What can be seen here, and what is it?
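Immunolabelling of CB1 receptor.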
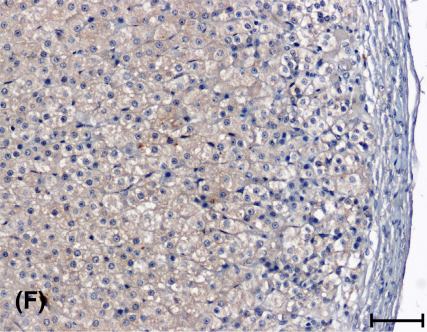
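Adrenal cortex with a wavy, layered fibrous capsule along the right edge. Beneath it lie large polygonal cells with pale, foamy or vacuolated cytoplasm and central round nuclei. A faint diffuse light brown tint runs through the cytoplasm of most cells, with a few darker-nucleated cells scattered among them.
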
